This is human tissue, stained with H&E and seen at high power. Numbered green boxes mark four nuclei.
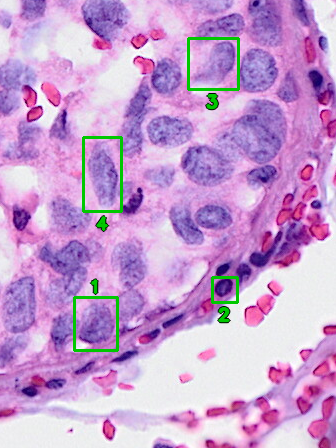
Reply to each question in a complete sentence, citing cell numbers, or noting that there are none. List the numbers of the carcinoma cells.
The cells carrying labels 1, 3 and 4 are carcinoma cells.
